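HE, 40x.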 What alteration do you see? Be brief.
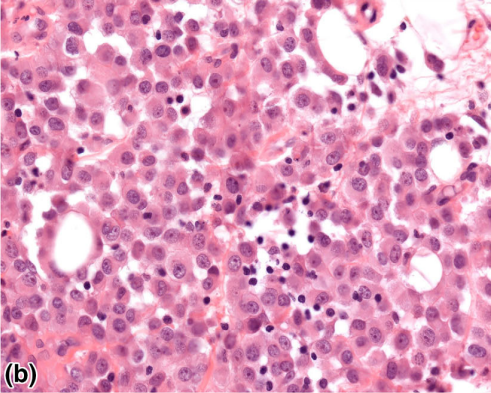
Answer: Mild cohesion between cancer cells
